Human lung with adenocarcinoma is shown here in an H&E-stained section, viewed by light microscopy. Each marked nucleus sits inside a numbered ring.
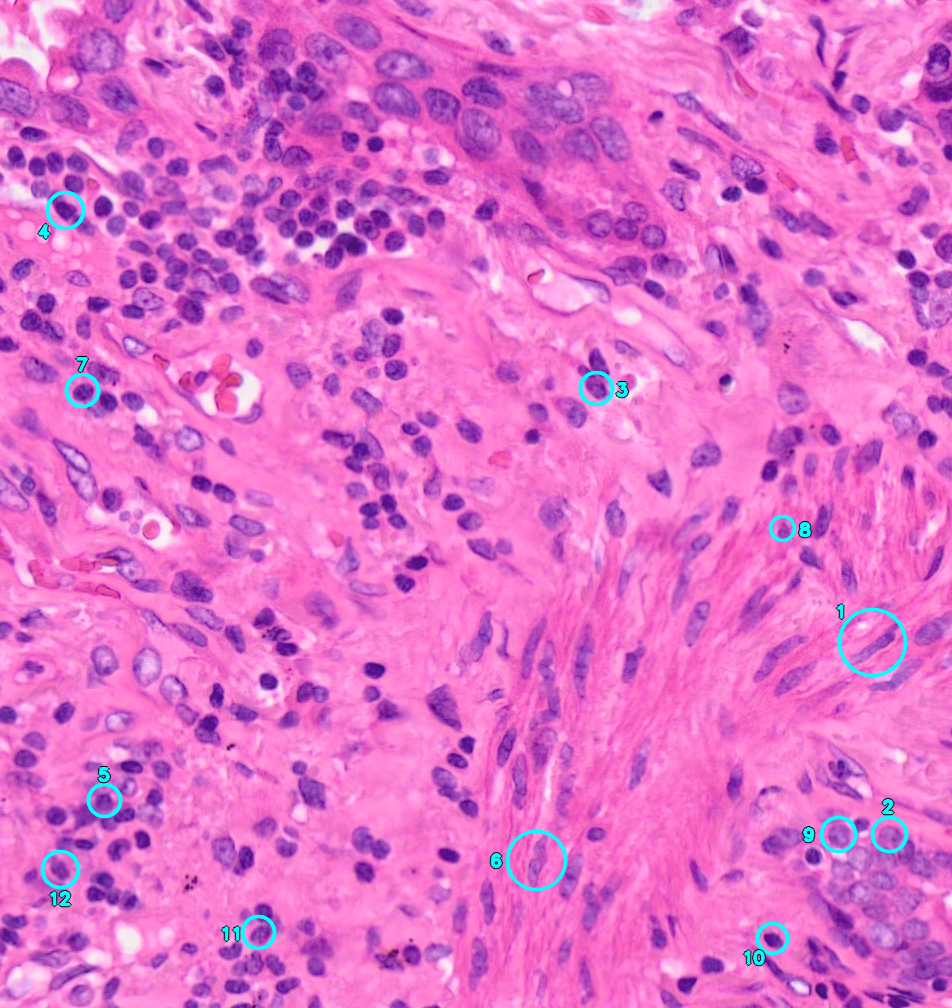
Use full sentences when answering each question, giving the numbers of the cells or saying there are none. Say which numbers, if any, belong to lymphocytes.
The cells assigned the numbers 3, 4, 5, 7, 10, 11 and 12 are lymphocytes.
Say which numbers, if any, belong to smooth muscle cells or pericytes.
Within the section, cells numbered 1, 6 and 8 are smooth muscle cells or pericytes.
